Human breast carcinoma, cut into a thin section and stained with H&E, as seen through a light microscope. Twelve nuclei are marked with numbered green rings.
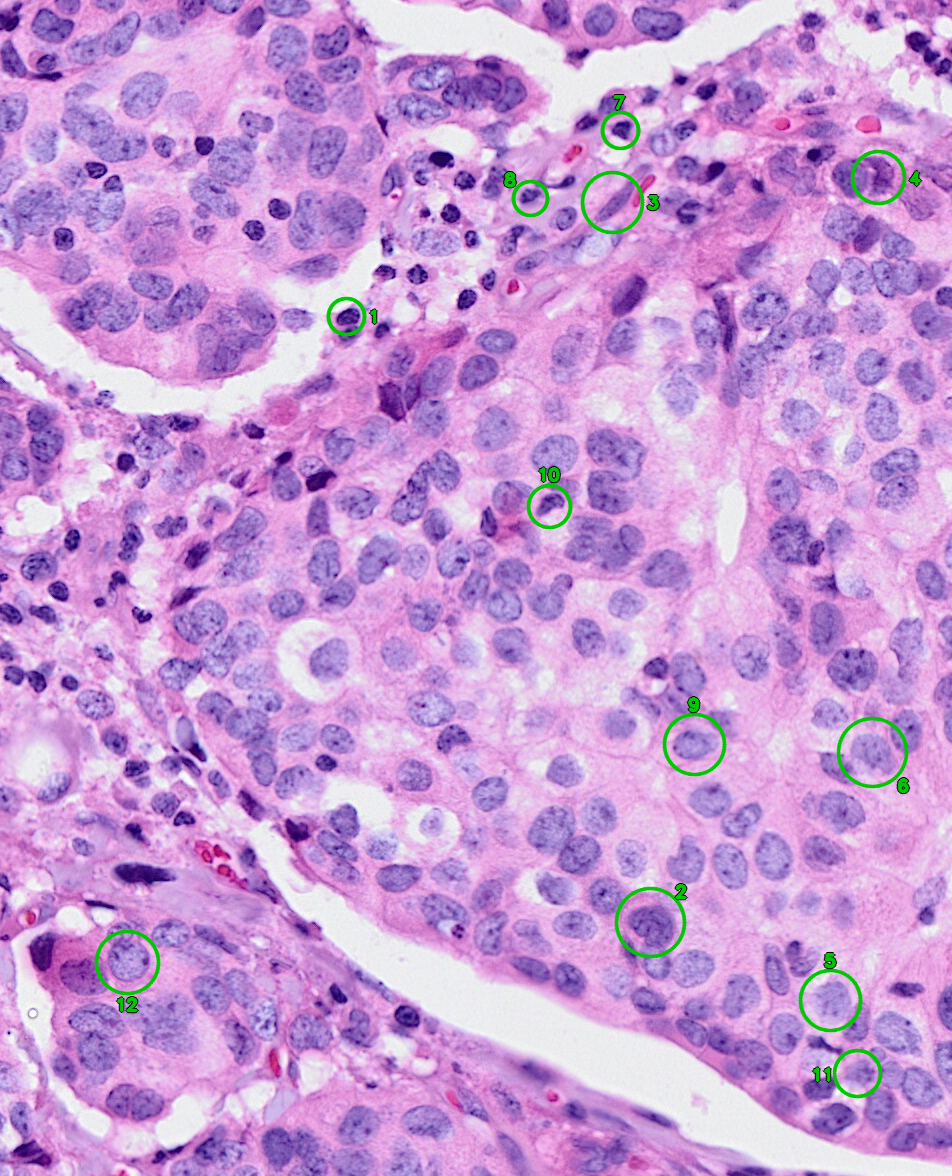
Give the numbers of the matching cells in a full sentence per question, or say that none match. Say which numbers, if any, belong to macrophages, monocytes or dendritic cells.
None among the numbered cells are macrophages, monocytes or dendritic cells.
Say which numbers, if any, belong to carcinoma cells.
Cells 2, 4, 5, 6, 9, 11 and 12 are carcinoma cells by cell type.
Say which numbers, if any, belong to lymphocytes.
The cells that the numbers 1, 7, 8 and 10 belong to are lymphocytes.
